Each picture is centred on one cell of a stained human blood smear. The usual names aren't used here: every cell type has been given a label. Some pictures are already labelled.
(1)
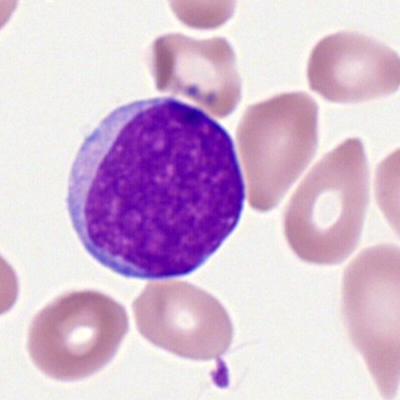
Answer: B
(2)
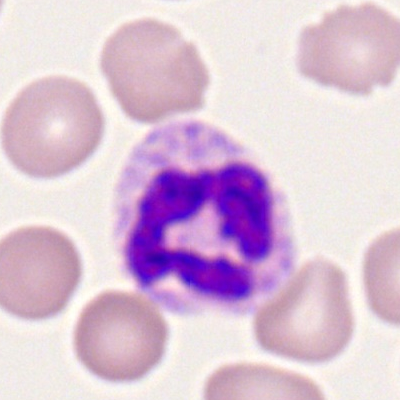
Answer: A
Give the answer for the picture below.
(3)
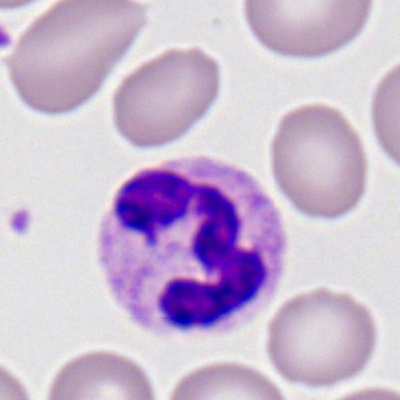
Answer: A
